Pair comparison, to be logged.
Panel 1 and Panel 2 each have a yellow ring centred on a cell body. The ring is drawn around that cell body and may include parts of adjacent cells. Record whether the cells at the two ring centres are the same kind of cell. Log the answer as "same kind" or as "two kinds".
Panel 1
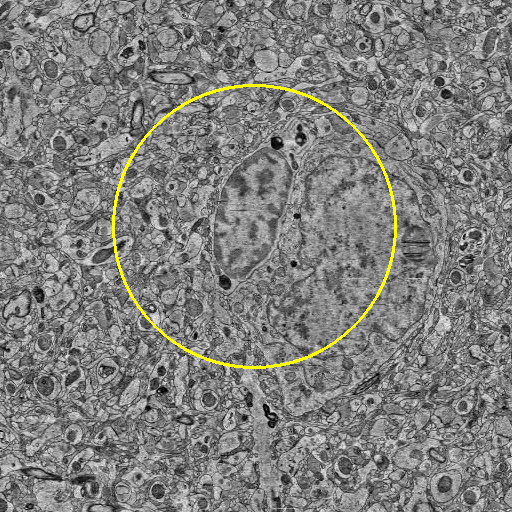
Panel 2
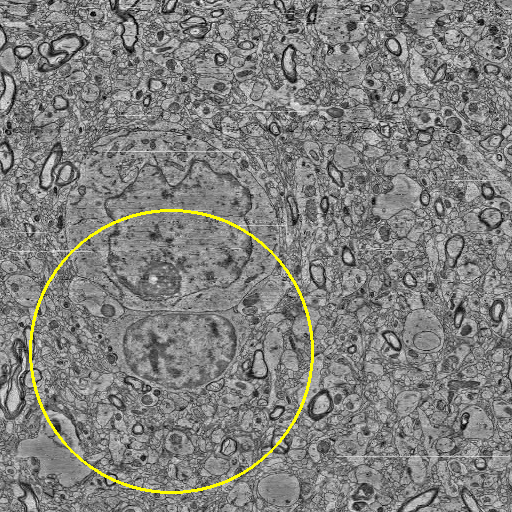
two kinds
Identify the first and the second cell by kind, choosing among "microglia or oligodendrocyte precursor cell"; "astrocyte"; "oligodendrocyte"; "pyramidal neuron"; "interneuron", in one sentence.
The one in the first picture is a microglial cell or oligodendrocyte precursor cell, while the one in the second is an oligodendrocyte.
